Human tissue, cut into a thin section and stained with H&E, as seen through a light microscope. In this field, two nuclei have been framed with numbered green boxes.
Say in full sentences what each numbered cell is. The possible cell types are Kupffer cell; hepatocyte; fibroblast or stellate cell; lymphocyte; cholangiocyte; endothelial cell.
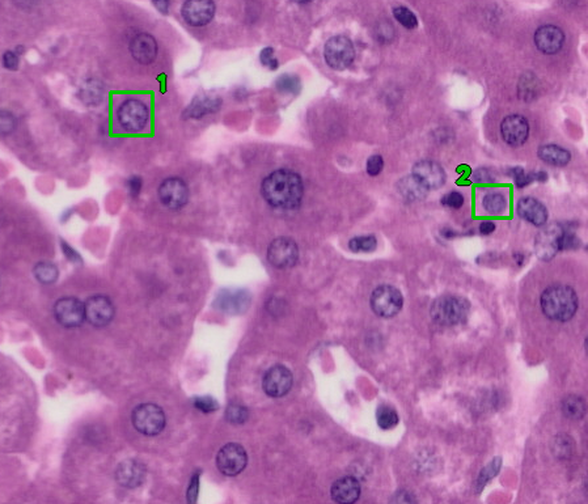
Cell 1 is a hepatocyte. Cell 2 is a cholangiocyte.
